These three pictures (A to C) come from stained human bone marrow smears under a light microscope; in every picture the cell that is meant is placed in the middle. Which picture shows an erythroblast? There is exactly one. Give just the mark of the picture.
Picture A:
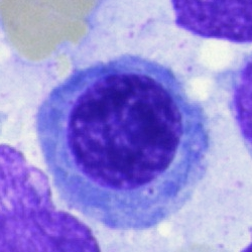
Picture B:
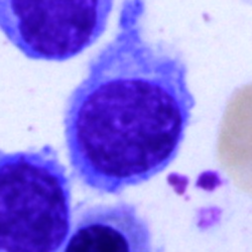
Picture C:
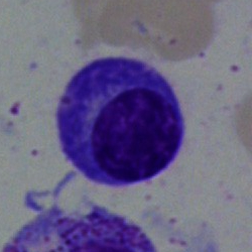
A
